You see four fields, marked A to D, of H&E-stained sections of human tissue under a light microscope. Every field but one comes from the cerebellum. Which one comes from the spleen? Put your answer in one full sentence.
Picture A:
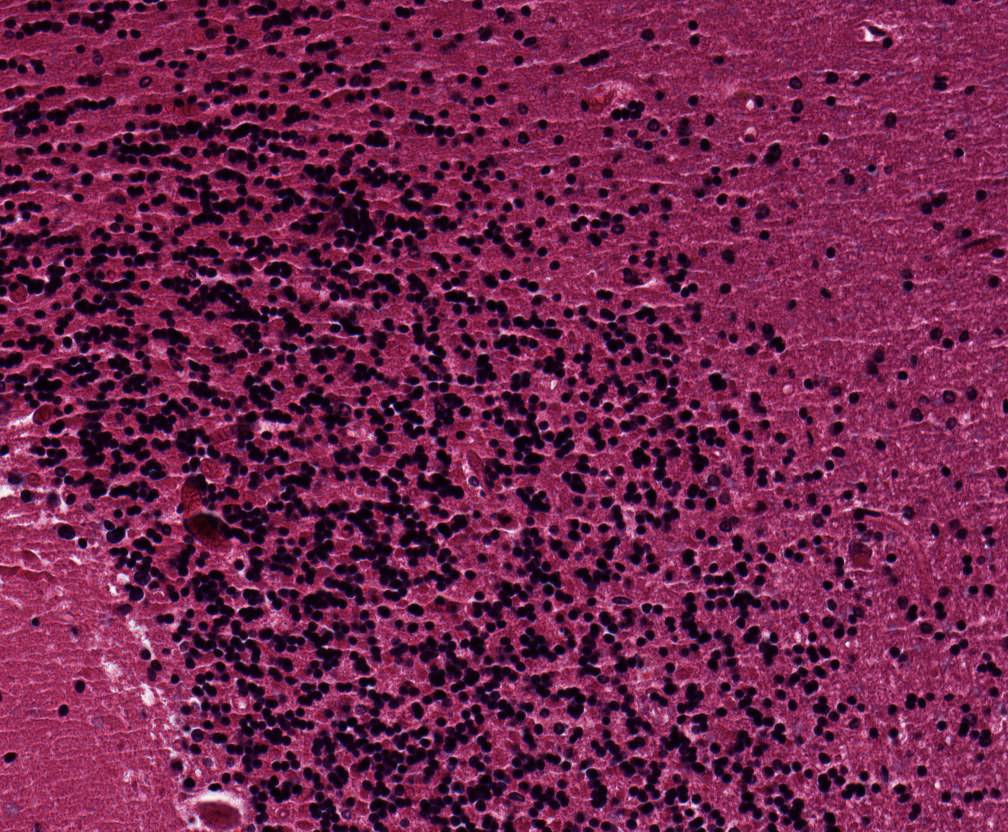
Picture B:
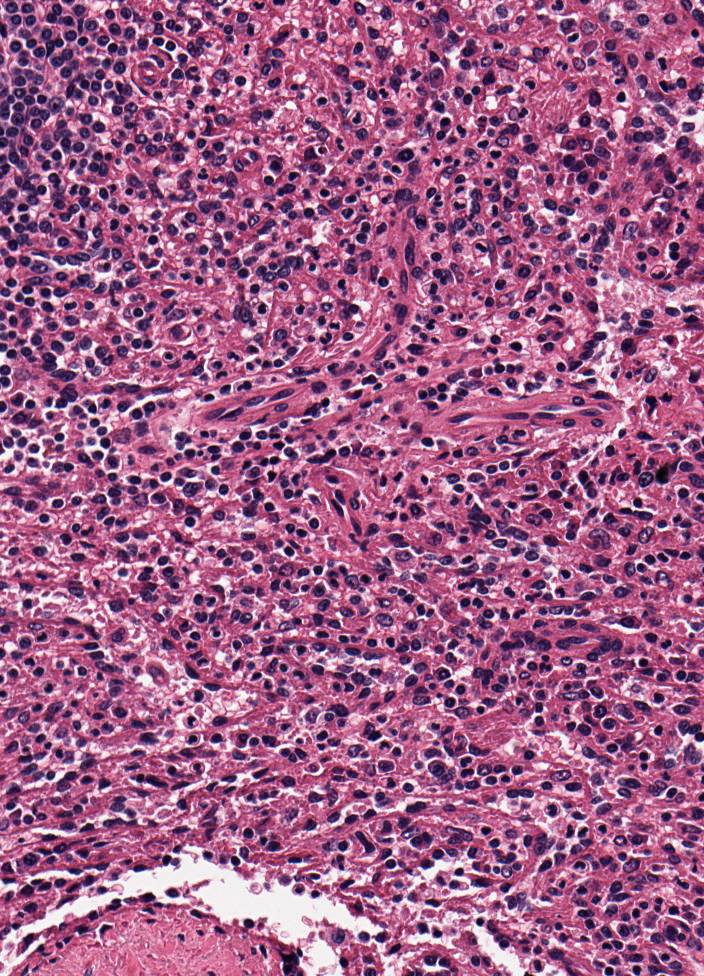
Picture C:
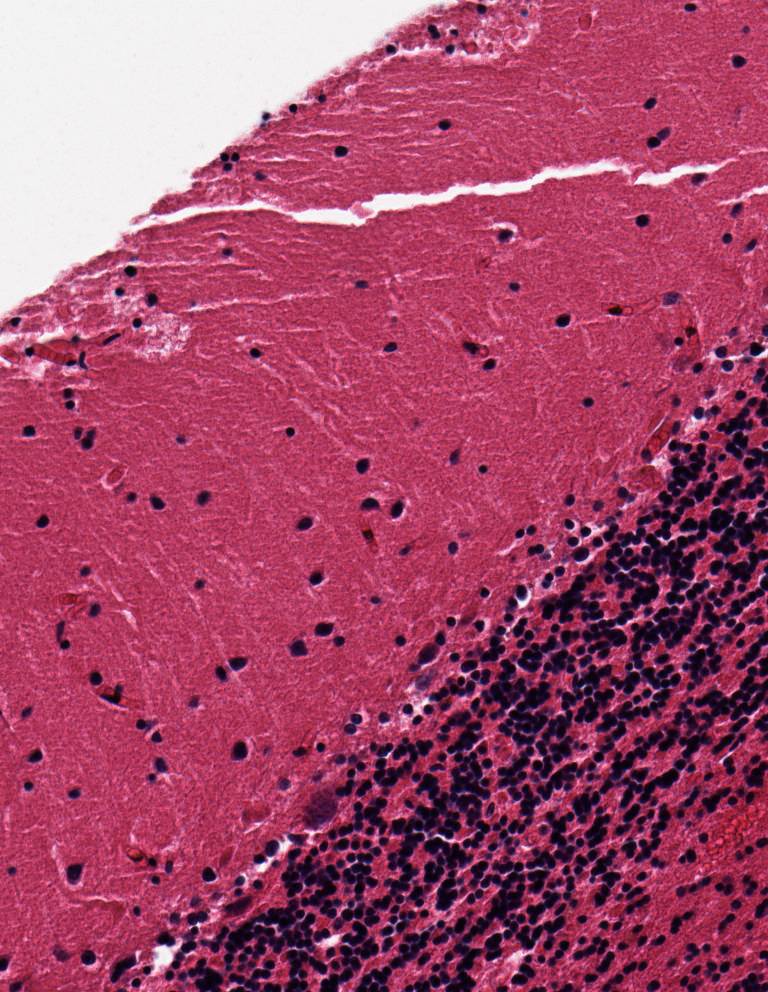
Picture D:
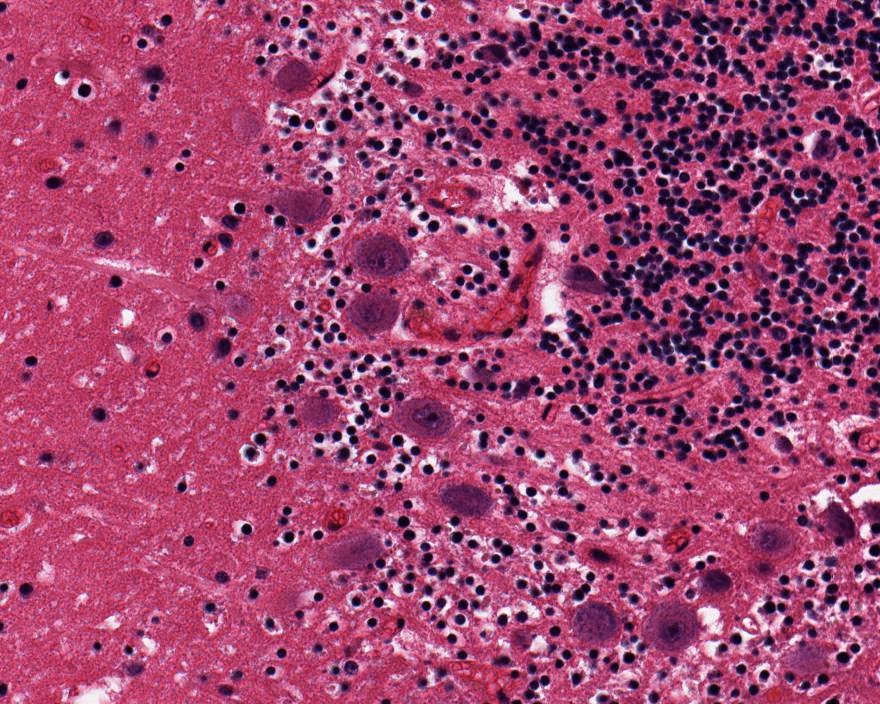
The one that comes from the spleen is picture B.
